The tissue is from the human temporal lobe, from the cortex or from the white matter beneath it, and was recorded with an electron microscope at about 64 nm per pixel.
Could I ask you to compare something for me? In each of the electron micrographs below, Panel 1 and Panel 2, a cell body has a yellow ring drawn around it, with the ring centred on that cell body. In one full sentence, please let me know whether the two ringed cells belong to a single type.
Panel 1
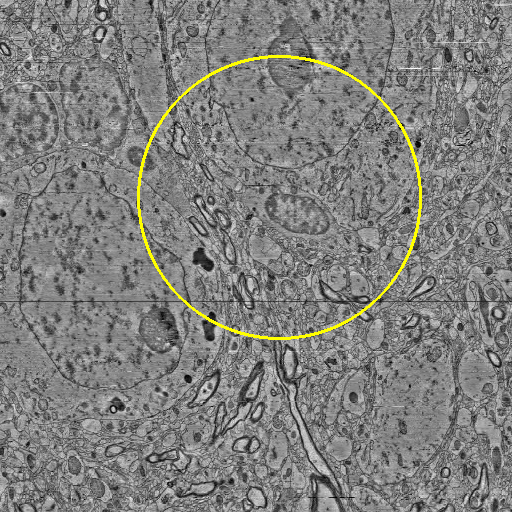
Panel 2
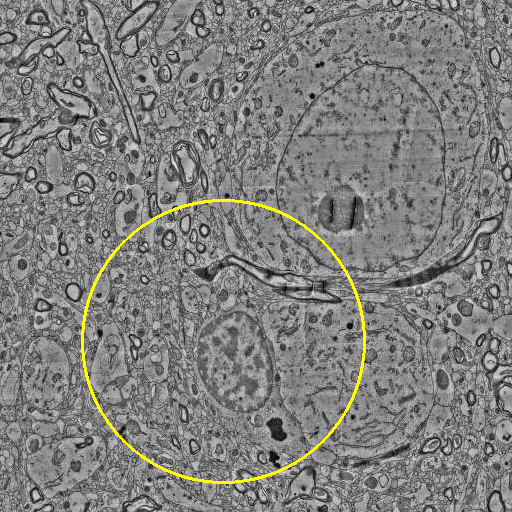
Yes, the two cells at the centres of the rings are of one type.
